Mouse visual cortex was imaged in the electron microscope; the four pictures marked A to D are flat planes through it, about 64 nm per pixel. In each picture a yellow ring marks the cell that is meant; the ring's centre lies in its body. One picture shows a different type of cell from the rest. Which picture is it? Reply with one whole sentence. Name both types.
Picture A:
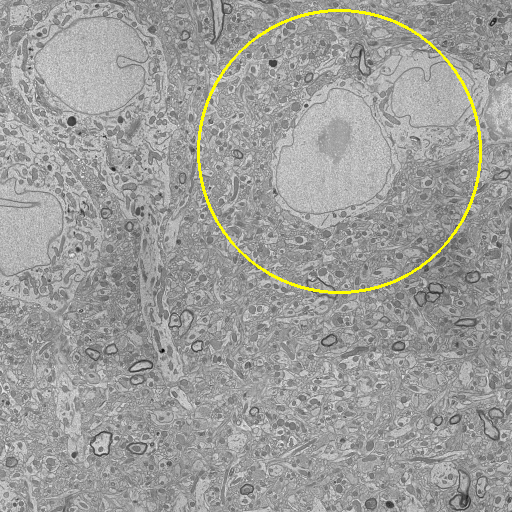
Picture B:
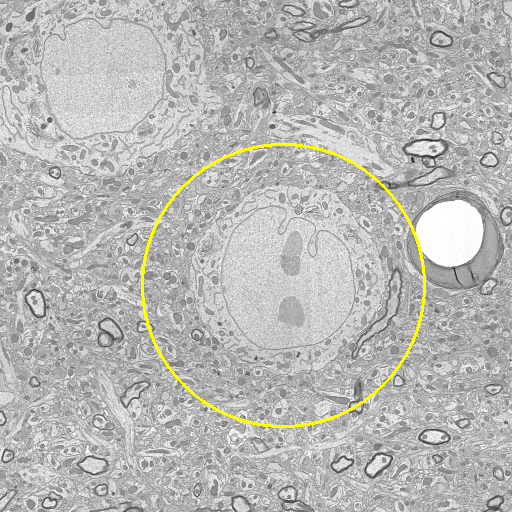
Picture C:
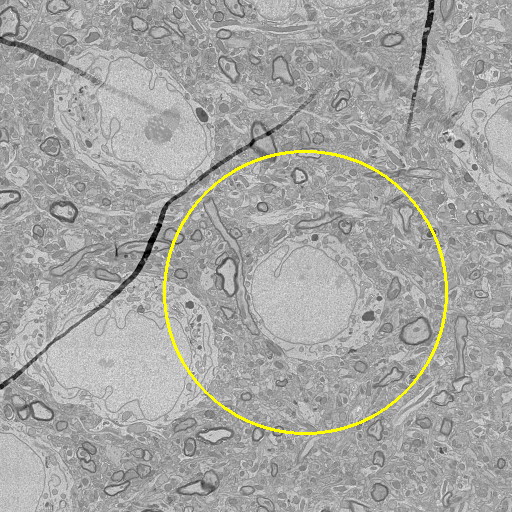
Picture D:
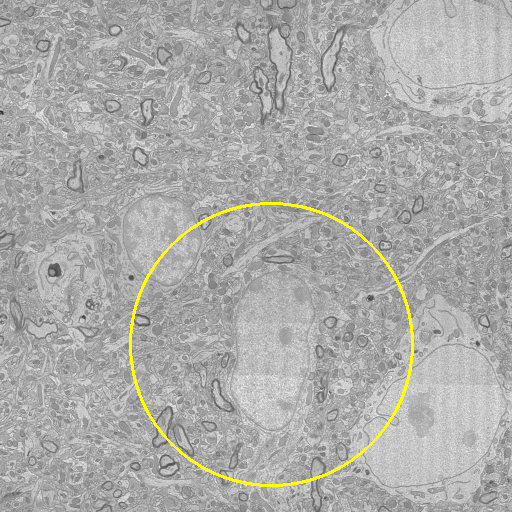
Picture D is the odd one out: it shows an astrocyte, while the others show excitatory neurons.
